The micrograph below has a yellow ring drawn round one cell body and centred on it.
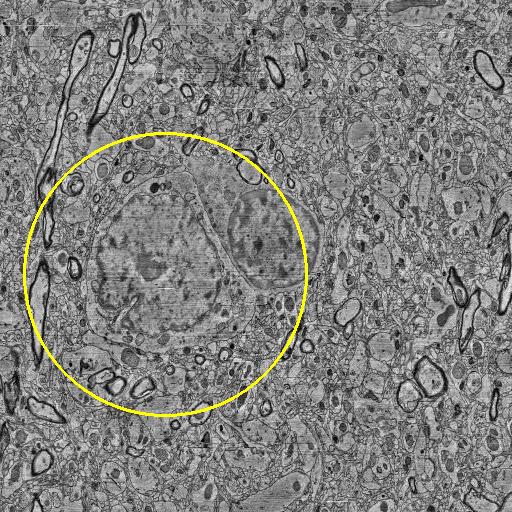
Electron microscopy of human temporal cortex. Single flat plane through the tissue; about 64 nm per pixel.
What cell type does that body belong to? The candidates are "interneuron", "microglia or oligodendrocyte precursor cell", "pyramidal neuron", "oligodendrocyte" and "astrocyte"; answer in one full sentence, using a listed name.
This is an interneuron, the cell whose body lies at the centre of the ring.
